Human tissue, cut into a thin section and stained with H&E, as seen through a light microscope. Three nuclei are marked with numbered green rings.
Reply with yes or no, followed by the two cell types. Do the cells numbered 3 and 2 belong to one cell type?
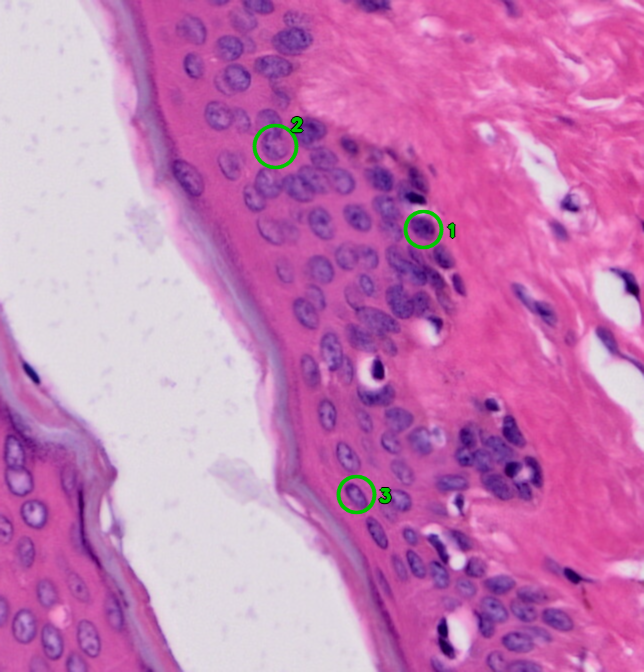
Yes, both are suprabasal keratinocytes.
